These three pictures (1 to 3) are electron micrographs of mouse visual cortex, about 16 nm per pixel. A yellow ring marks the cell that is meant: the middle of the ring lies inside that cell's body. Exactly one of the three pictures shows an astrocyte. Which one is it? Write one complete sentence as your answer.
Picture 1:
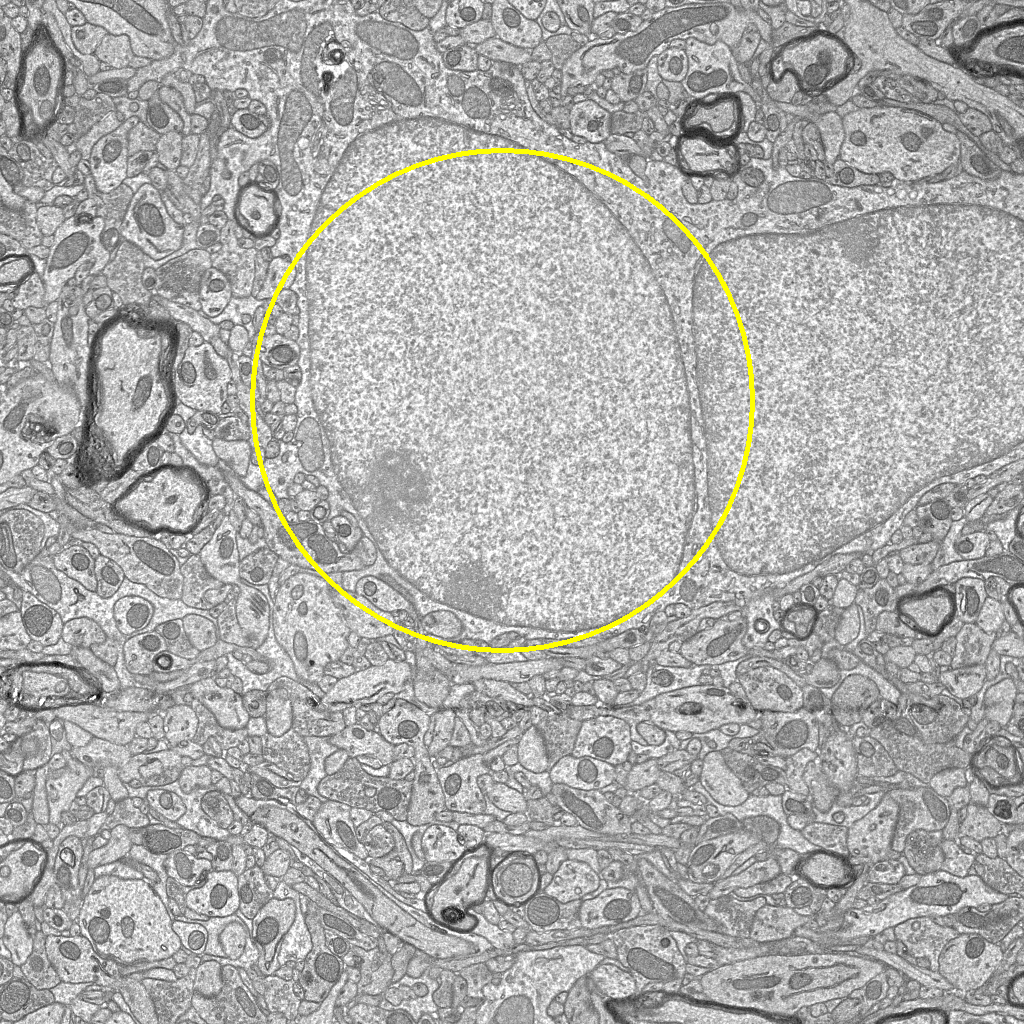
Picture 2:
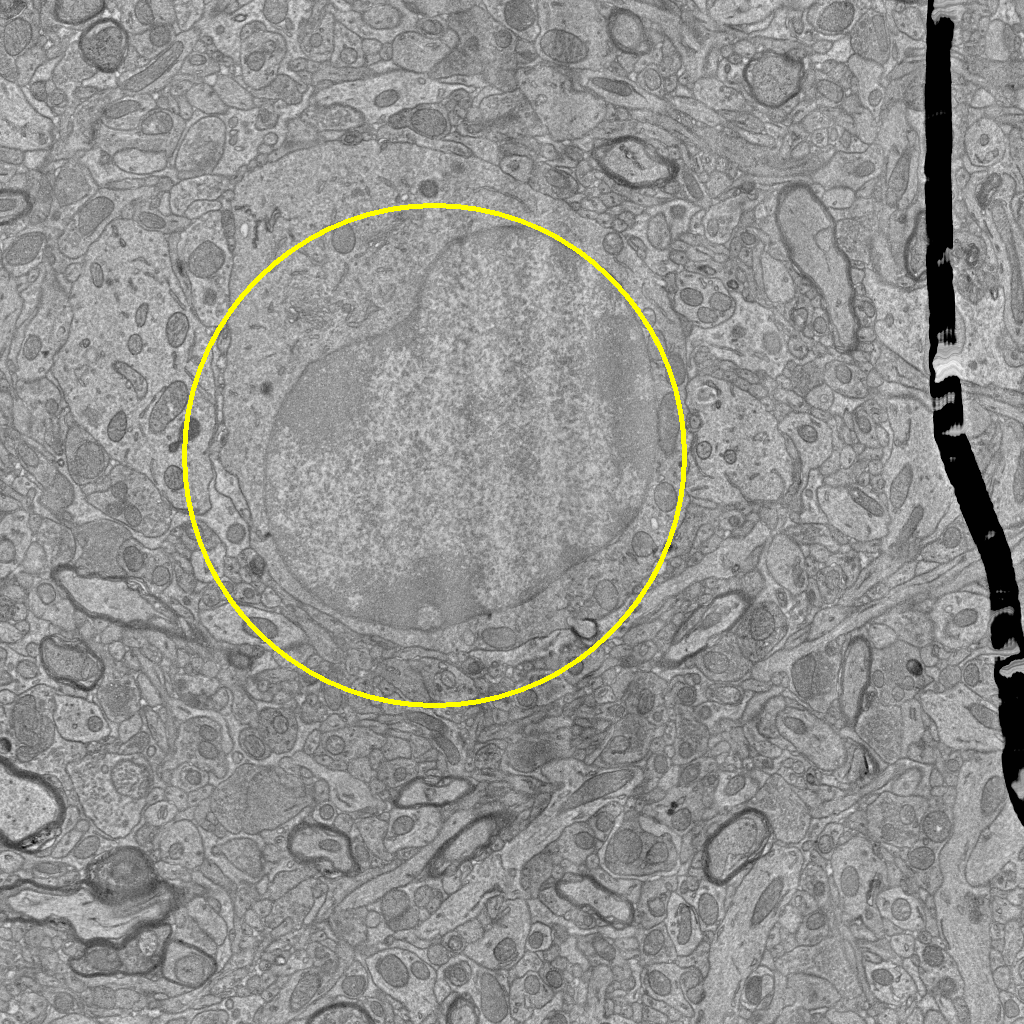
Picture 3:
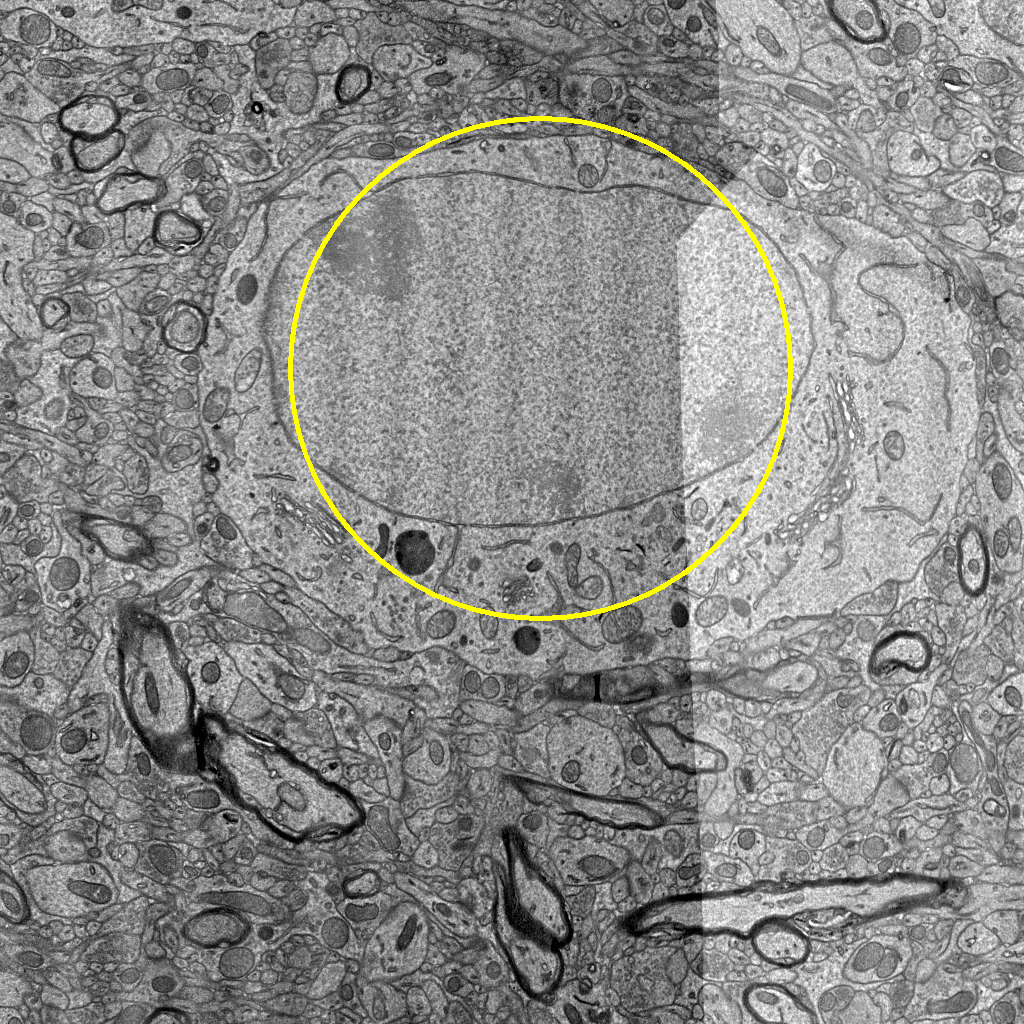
It is picture 1 that shows the astrocyte.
